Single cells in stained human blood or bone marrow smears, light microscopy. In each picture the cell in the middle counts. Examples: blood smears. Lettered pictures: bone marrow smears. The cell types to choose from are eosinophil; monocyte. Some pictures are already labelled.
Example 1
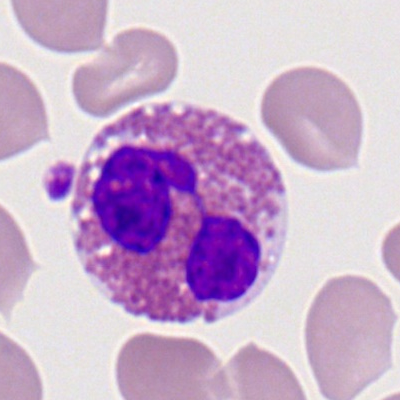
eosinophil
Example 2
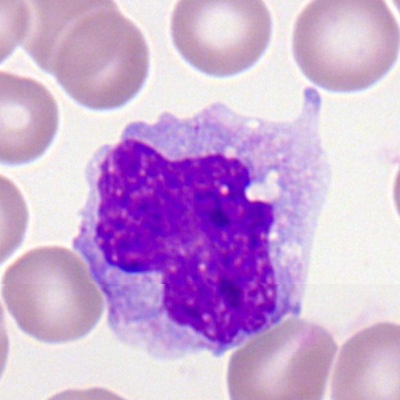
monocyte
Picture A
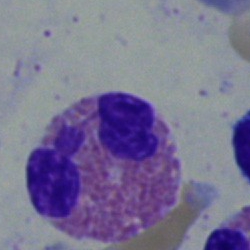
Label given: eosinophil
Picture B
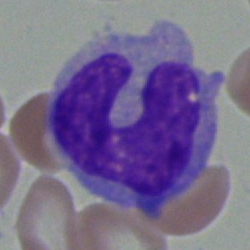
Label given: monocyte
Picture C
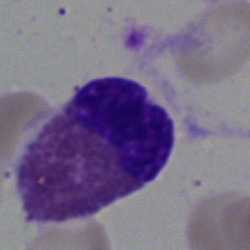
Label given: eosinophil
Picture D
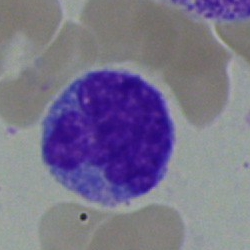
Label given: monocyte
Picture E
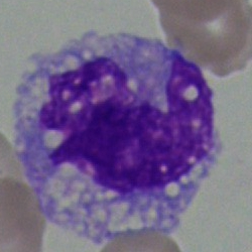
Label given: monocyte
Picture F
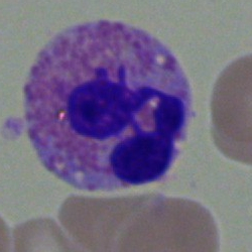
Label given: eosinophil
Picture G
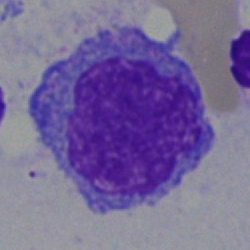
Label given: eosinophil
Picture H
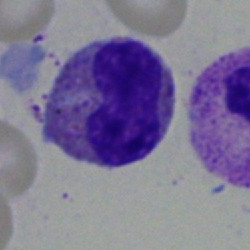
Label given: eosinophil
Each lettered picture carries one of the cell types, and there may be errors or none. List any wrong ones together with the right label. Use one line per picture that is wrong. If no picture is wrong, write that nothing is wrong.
G should be monocyte, not eosinophil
